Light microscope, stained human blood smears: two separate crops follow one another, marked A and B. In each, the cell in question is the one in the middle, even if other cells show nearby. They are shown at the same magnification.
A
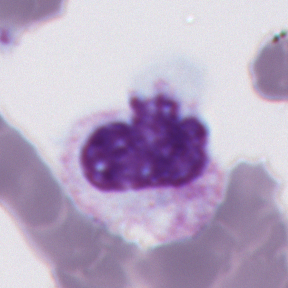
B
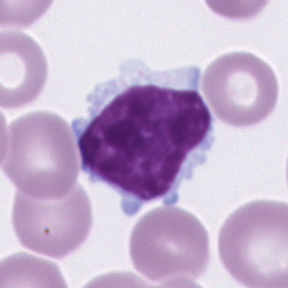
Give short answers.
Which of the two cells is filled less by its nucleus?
A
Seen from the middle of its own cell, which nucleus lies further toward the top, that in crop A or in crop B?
A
